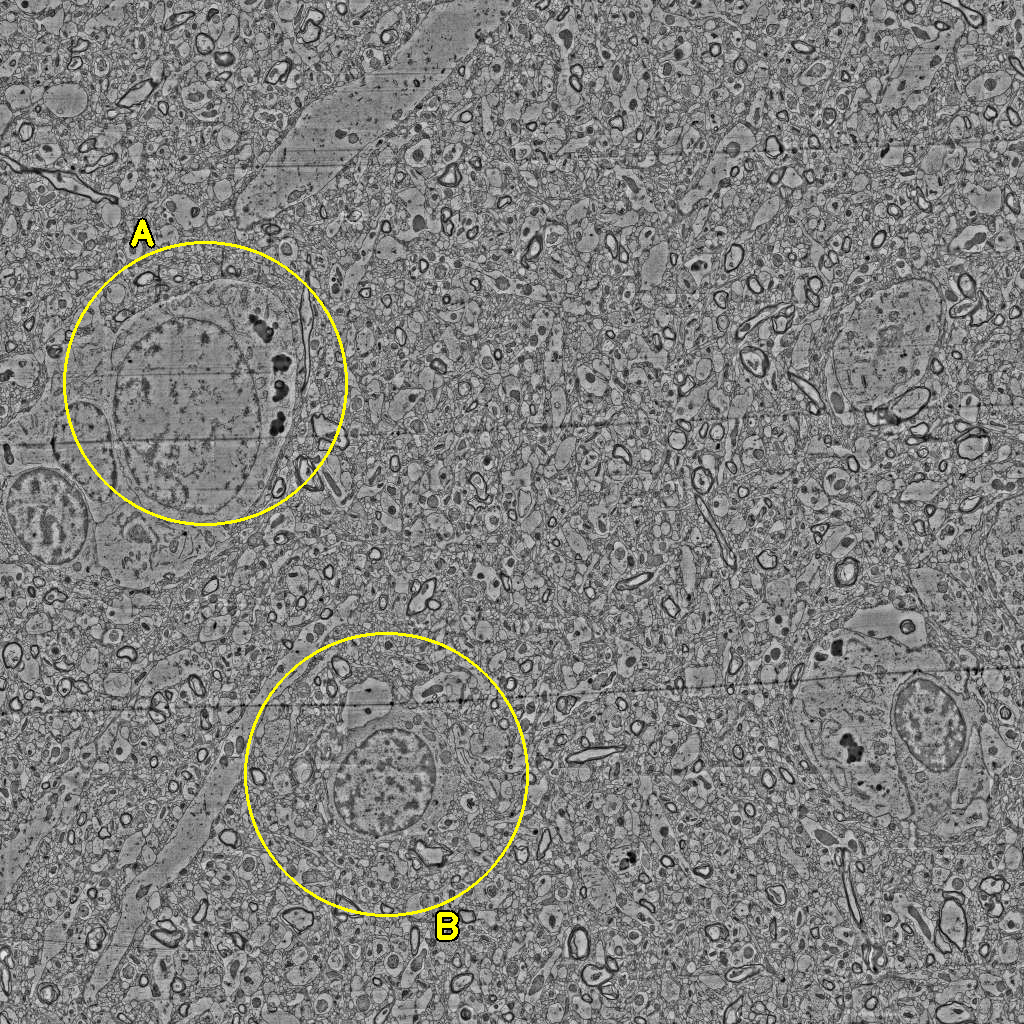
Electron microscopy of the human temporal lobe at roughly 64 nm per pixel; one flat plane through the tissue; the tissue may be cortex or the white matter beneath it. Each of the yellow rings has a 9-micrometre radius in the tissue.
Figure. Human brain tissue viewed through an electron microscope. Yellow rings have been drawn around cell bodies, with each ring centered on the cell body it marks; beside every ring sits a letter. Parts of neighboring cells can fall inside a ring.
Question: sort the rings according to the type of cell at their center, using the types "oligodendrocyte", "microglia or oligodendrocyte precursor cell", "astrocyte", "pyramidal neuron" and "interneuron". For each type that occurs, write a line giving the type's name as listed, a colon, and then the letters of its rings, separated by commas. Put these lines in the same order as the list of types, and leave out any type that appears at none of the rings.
oligodendrocyte: B
pyramidal neuron: A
